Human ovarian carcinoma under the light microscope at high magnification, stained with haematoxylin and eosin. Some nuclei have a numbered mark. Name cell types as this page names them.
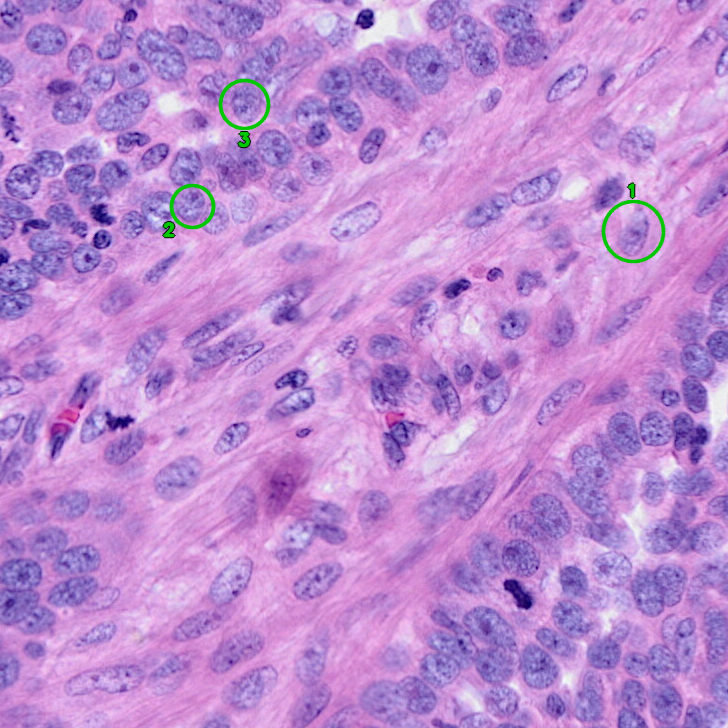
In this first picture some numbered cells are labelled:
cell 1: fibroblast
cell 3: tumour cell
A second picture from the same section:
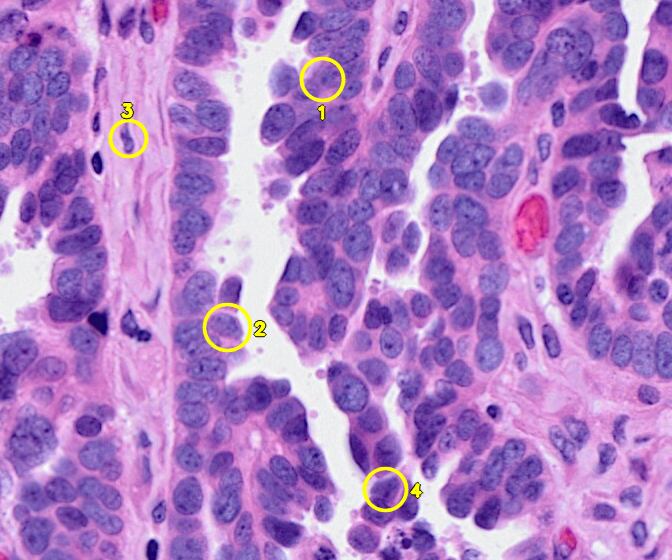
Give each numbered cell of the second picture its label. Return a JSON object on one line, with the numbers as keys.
{"1": "tumour cell", "2": "tumour cell", "3": "fibroblast", "4": "tumour cell"}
